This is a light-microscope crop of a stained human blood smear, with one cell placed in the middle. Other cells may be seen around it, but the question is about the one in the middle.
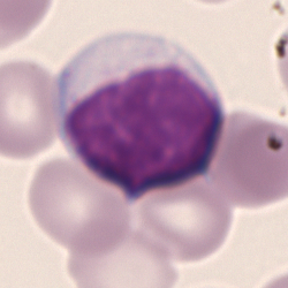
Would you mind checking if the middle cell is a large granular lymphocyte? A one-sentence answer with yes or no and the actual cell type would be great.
Yes, that middle cell in the crop is a large granular lymphocyte.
